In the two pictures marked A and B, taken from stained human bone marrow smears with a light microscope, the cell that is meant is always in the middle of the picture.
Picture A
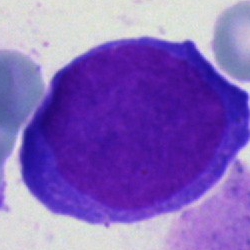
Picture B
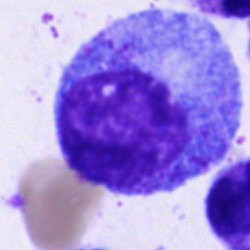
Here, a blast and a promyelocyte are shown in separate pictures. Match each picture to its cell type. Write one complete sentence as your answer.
Picture B shows a promyelocyte, while picture A shows a blast.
